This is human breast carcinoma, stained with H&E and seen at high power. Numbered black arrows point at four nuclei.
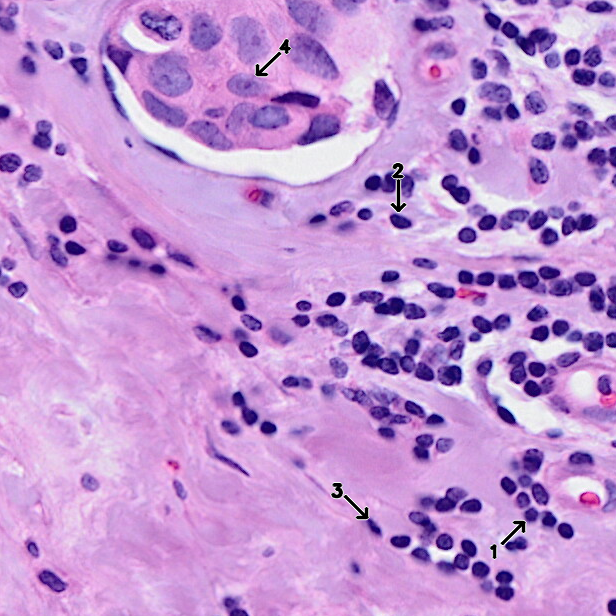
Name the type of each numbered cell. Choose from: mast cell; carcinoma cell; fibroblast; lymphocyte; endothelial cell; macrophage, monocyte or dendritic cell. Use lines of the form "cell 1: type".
cell 1: lymphocyte
cell 2: lymphocyte
cell 3: lymphocyte
cell 4: carcinoma cell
